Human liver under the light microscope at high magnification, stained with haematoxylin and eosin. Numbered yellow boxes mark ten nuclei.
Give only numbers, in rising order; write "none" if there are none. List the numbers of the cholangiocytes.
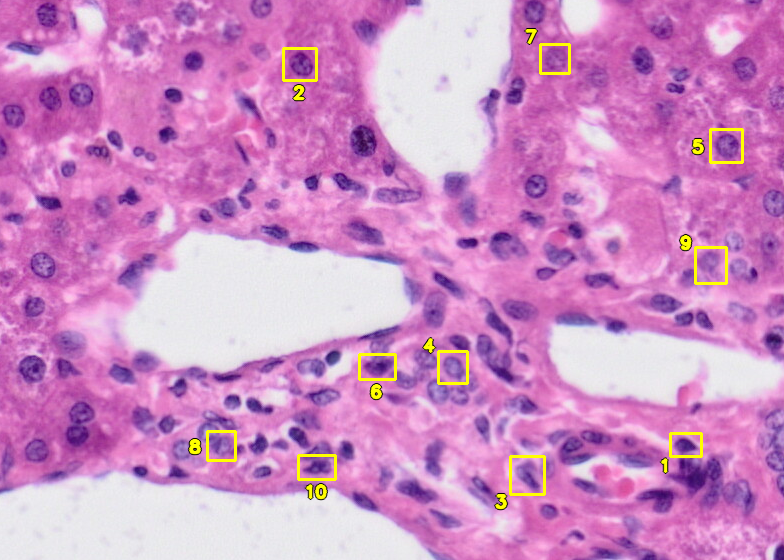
4, 8, 9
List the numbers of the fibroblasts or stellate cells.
1, 3, 6, 10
